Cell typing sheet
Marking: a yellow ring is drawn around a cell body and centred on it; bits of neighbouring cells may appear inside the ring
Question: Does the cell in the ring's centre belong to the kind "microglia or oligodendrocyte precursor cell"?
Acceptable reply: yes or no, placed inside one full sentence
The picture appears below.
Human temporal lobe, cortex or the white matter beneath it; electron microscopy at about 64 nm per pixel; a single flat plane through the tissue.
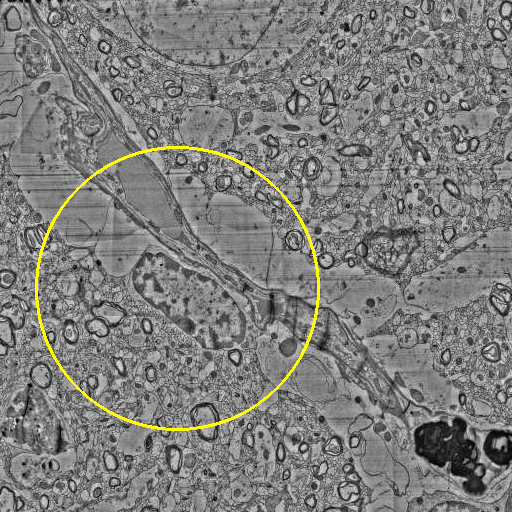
Yes, the cell in the centre of the ring is of the kind asked about.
